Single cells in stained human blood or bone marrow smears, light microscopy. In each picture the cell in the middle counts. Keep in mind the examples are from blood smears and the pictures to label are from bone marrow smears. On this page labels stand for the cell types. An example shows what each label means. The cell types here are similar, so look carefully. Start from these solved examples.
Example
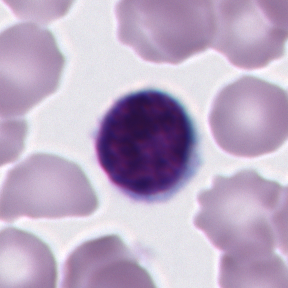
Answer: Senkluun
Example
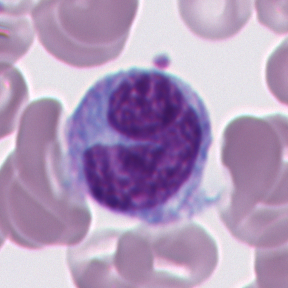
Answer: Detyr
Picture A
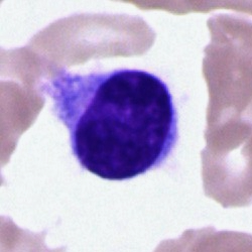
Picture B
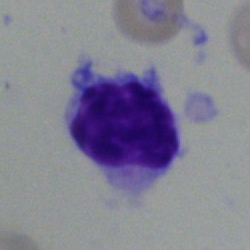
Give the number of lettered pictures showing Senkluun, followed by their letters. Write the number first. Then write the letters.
2, namely A, B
